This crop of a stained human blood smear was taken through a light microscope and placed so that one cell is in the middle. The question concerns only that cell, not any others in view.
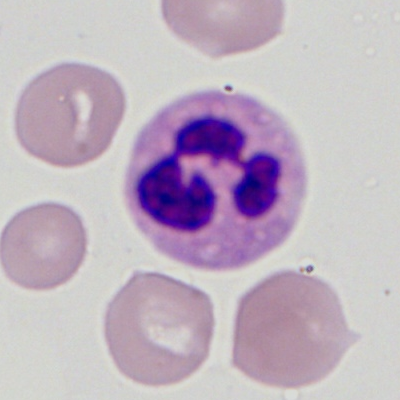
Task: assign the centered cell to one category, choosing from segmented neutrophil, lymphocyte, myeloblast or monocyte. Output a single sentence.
The cell at the heart of this crop is a segmented neutrophil.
